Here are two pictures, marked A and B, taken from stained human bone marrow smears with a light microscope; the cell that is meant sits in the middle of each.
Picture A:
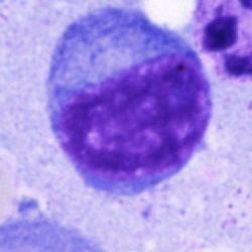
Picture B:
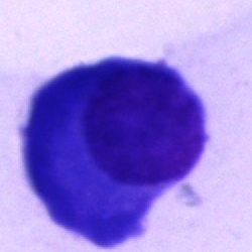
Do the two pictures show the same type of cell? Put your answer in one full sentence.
Yes, both cells are plasma cells.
